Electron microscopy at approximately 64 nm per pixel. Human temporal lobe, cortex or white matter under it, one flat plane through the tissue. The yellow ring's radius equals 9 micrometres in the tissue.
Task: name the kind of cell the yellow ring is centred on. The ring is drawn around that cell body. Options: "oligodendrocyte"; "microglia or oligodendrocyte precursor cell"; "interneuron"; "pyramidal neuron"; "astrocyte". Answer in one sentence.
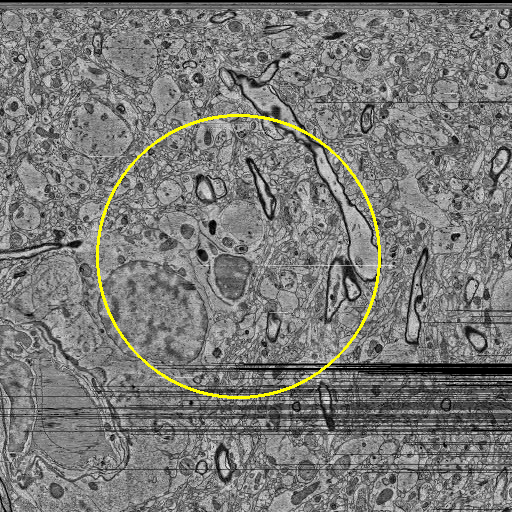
This cell body belongs to a microglial cell or oligodendrocyte precursor cell.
